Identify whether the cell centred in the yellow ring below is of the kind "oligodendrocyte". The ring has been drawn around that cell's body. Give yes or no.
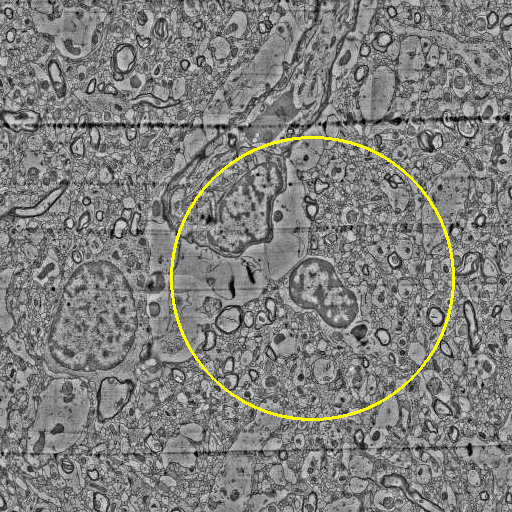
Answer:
no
